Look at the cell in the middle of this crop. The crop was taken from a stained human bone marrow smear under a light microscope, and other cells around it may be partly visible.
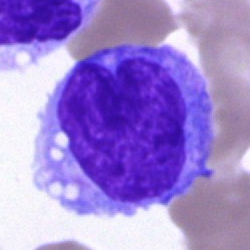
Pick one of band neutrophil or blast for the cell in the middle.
blast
